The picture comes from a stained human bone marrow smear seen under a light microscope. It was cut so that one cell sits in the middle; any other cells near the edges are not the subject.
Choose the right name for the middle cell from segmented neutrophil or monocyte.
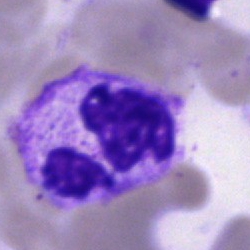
segmented neutrophil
